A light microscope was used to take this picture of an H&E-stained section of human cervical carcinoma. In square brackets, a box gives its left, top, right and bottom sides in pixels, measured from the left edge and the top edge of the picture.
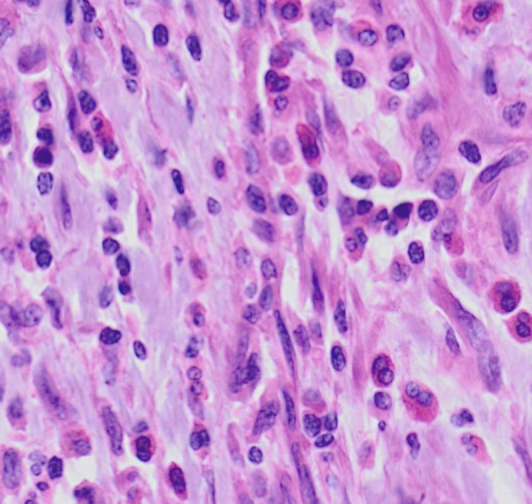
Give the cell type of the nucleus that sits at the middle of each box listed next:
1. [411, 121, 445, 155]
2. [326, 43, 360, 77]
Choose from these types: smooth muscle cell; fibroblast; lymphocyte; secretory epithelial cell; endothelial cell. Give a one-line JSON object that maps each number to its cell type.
{"1": "endothelial cell", "2": "lymphocyte"}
